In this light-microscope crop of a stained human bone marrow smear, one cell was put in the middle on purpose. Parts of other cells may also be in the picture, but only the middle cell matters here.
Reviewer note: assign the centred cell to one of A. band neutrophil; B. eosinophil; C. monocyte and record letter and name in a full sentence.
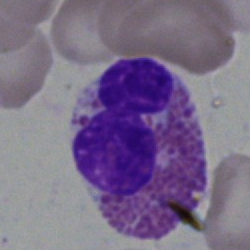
The middle of the crop contains an eosinophil, so option B is right.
